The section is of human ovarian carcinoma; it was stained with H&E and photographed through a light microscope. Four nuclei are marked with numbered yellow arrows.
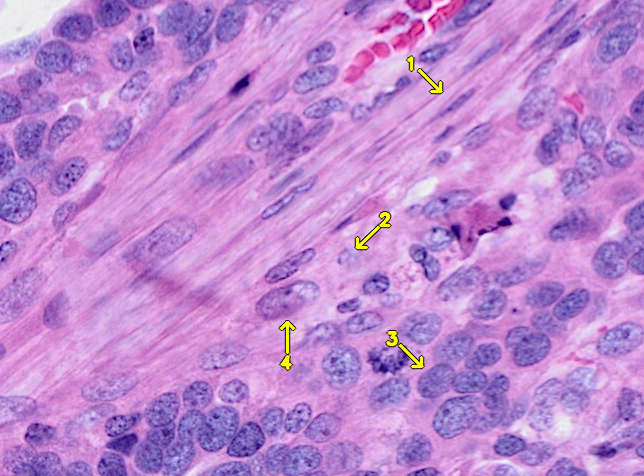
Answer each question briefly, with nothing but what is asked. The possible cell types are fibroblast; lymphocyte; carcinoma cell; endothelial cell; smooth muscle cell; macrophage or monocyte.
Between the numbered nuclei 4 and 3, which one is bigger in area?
4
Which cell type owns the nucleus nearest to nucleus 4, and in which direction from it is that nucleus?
a macrophage or monocyte; above nucleus 4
